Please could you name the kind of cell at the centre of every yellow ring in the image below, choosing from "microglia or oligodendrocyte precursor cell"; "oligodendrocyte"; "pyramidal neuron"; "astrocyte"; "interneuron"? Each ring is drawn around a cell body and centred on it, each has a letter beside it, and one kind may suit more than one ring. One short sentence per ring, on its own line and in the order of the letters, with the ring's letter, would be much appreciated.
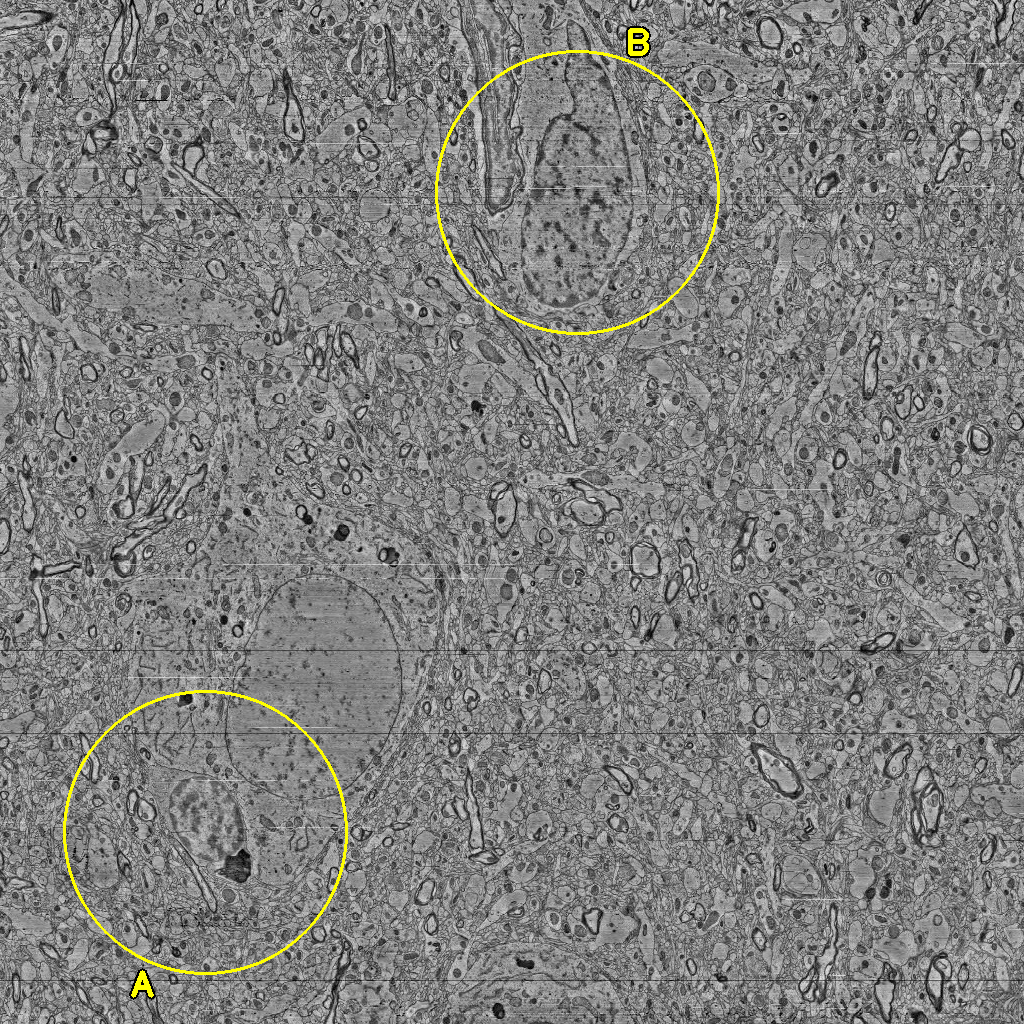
The cell in the middle of ring A is an oligodendrocyte.
The cell in the middle of ring B is a microglial cell or oligodendrocyte precursor cell.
